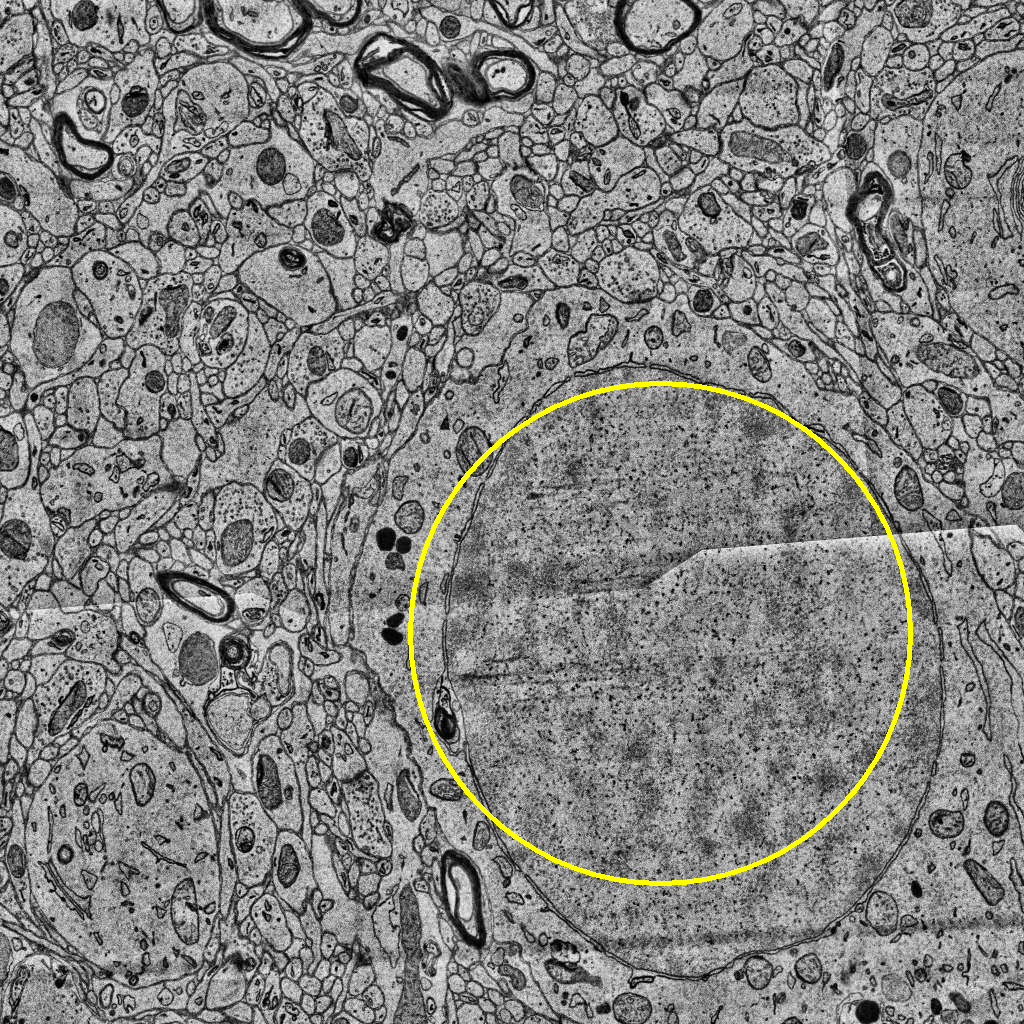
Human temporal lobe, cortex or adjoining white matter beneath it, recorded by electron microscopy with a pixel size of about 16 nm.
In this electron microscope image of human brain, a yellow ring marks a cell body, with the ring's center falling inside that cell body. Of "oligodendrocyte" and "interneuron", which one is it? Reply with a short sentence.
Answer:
It is an interneuron at the center of the ring.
